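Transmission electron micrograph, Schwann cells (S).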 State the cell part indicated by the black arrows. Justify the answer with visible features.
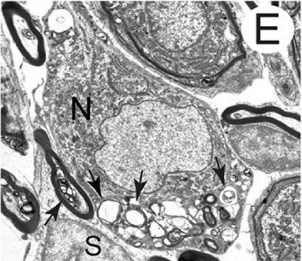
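The clear spaces cluster in the cytoplasm beside the nucleus. That points to this answer: vacuoles.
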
